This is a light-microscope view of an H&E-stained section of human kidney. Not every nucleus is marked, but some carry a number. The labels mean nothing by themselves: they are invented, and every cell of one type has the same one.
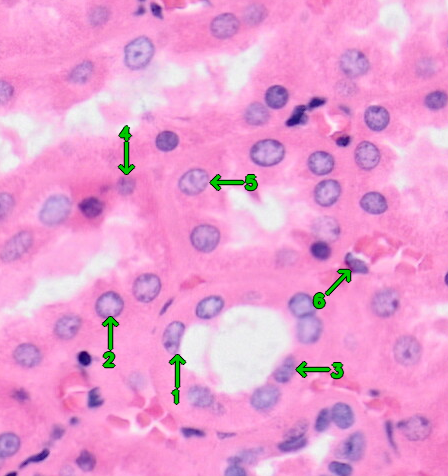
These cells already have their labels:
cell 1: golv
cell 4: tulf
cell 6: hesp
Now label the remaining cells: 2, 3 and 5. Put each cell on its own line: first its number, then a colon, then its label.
2: tulf
3: golv
5: tulf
